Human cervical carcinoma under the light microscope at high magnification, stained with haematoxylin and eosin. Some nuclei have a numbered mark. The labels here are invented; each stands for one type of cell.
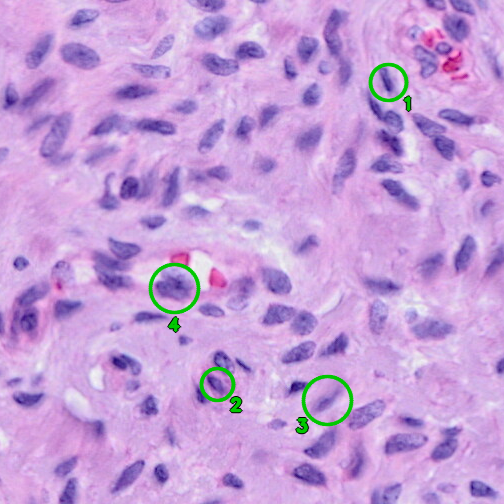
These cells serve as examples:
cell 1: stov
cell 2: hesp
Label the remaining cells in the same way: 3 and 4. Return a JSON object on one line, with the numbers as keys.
{"3": "stov", "4": "hesp"}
